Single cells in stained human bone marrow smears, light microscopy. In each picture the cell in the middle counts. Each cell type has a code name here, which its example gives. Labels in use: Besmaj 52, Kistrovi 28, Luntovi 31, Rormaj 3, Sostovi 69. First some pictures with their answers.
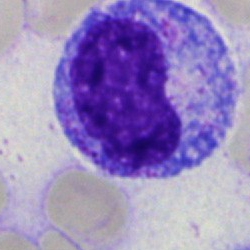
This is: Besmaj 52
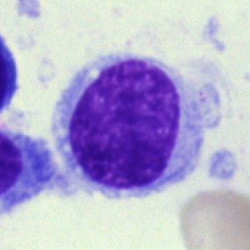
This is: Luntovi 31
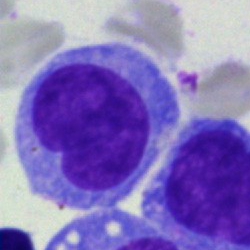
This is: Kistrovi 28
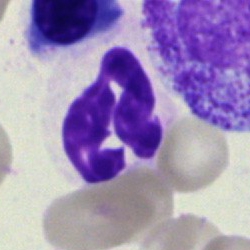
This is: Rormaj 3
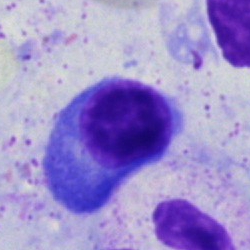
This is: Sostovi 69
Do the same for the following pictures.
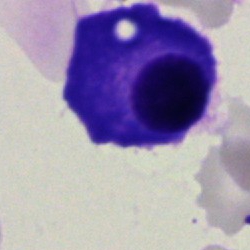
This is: Sostovi 69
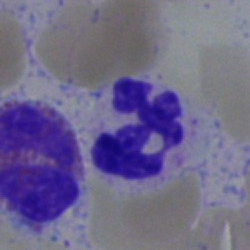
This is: Rormaj 3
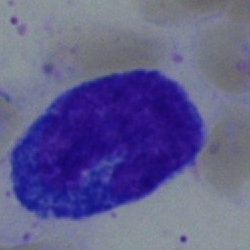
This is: Besmaj 52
